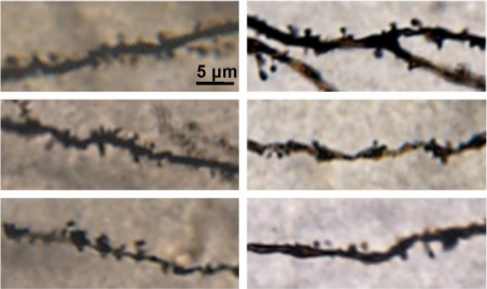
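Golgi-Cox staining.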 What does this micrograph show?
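Along the segments in the left column many small knob-like spines project from the shaft at close intervals. The segments in the right column look smoother, with fewer and more widely spaced spines along their length.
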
